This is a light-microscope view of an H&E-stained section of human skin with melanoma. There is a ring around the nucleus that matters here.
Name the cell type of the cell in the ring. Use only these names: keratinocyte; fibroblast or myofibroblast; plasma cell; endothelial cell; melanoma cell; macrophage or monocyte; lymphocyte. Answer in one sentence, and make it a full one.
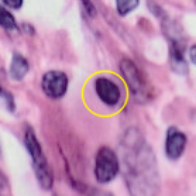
Microscopically, the cell in the ring is categorized as a lymphocyte.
